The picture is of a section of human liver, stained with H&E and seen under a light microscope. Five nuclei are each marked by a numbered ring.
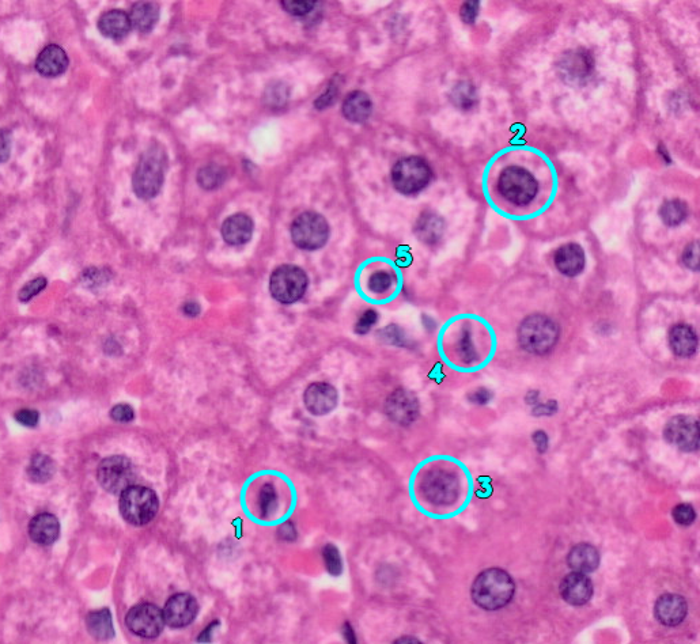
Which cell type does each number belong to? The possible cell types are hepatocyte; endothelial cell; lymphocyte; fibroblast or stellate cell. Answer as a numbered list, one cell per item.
1. fibroblast or stellate cell
2. hepatocyte
3. hepatocyte
4. endothelial cell
5. lymphocyte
